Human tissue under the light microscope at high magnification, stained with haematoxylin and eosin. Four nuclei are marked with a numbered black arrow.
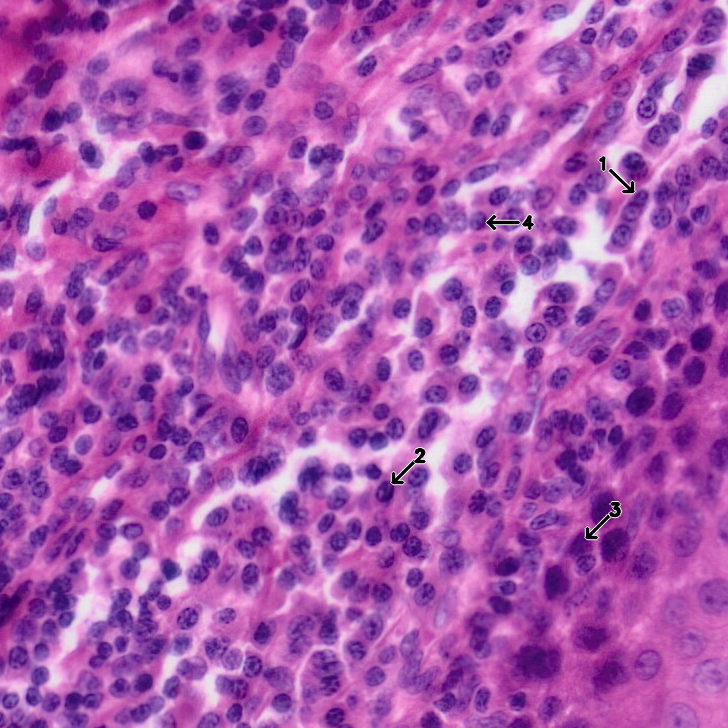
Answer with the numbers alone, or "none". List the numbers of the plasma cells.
1, 2, 4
